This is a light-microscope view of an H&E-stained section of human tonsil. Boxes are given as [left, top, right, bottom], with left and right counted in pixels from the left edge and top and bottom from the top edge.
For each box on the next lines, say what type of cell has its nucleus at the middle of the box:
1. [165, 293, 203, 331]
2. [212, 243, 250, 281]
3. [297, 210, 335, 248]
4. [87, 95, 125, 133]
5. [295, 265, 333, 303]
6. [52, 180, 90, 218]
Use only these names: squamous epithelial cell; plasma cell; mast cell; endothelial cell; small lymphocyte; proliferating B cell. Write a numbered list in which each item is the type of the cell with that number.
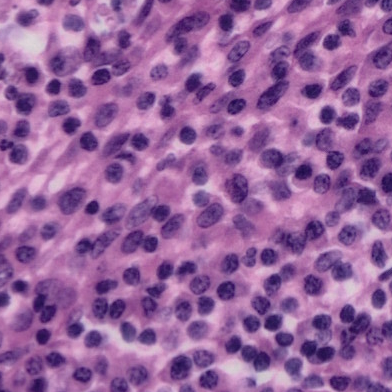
1. plasma cell
2. plasma cell
3. plasma cell
4. squamous epithelial cell
5. plasma cell
6. squamous epithelial cell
